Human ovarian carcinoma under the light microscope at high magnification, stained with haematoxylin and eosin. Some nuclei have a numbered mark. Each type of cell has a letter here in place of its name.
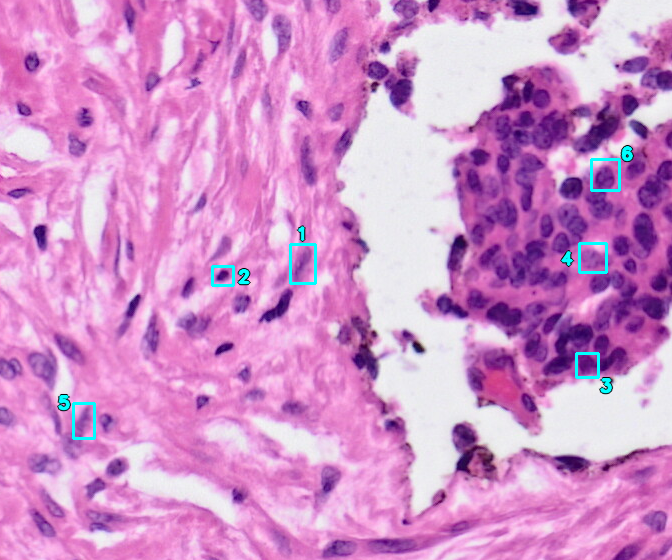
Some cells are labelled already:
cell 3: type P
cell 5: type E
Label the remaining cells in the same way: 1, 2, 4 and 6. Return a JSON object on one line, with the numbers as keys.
{"1": "type E", "2": "type E", "4": "type P", "6": "type P"}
